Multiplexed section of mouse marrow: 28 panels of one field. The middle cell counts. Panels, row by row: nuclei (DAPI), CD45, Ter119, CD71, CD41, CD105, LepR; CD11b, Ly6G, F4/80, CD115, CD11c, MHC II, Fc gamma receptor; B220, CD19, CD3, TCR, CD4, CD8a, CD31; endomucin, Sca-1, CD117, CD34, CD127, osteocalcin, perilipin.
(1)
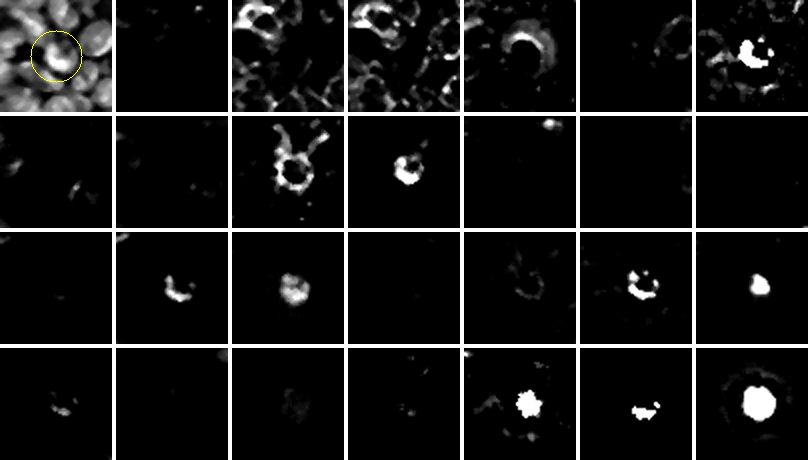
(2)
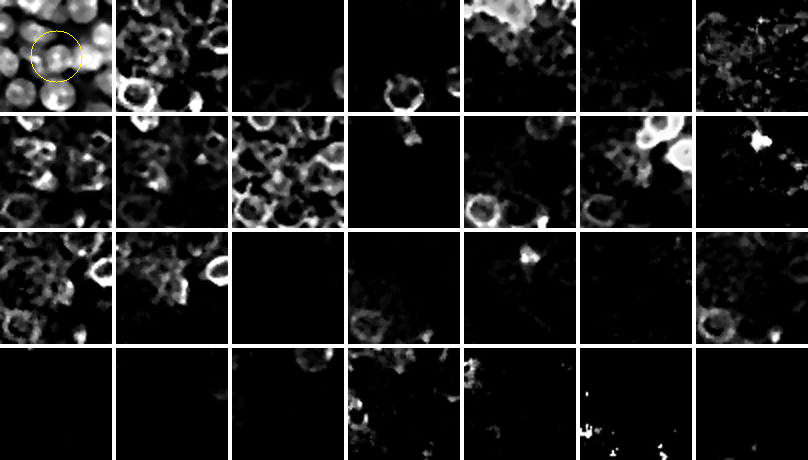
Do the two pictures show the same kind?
No: a LepR-positive perivascular cell, then a B cell.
